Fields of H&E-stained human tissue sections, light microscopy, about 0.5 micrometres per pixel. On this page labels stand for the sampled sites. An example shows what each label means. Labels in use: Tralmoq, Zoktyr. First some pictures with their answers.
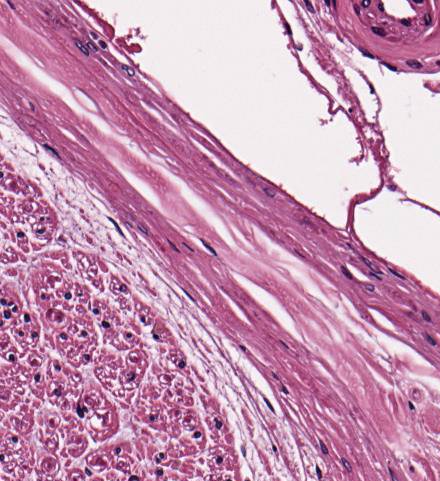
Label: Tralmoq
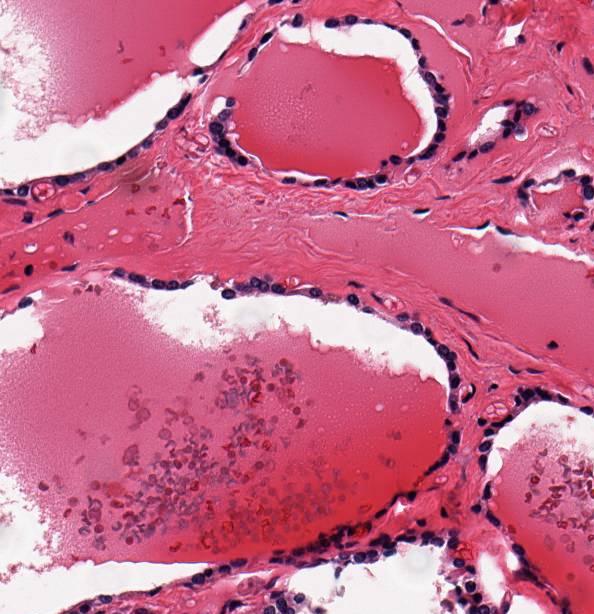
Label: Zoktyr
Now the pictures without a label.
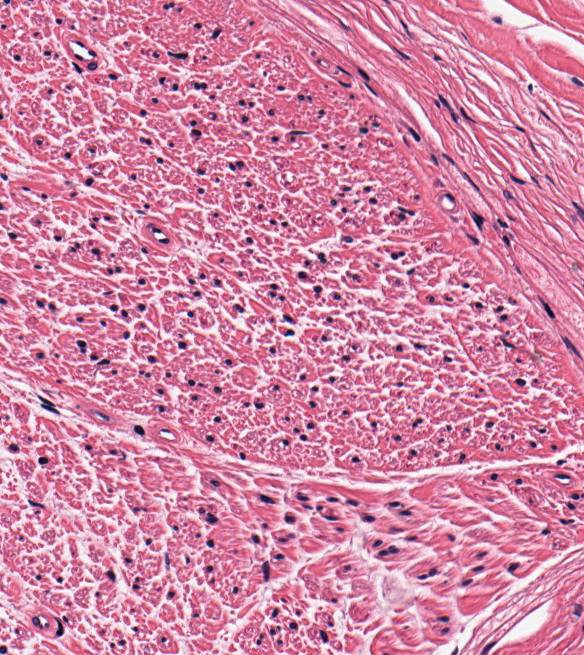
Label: Tralmoq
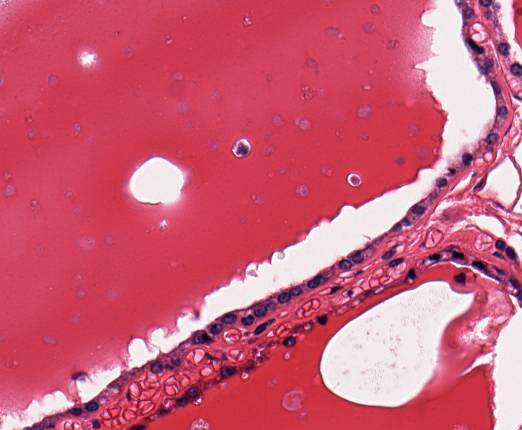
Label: Zoktyr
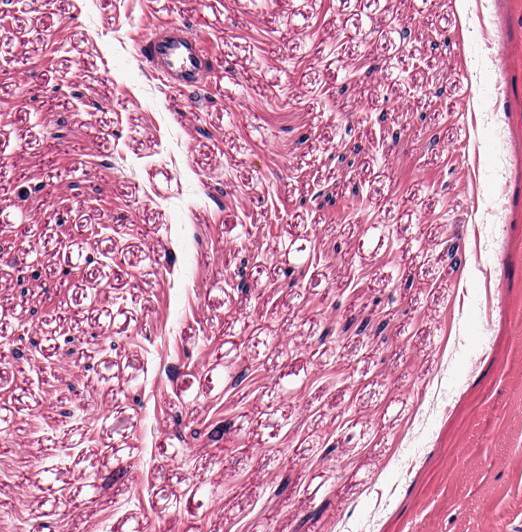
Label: Tralmoq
